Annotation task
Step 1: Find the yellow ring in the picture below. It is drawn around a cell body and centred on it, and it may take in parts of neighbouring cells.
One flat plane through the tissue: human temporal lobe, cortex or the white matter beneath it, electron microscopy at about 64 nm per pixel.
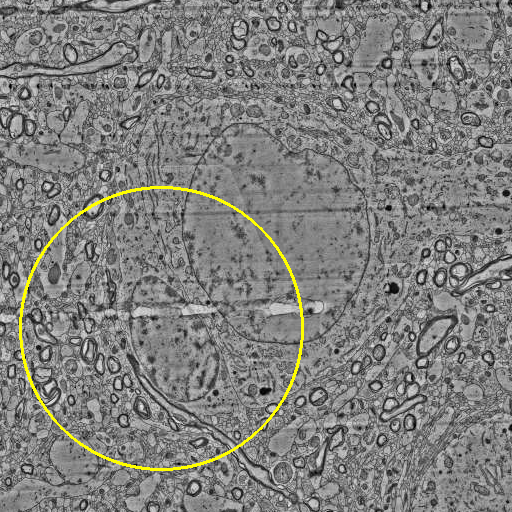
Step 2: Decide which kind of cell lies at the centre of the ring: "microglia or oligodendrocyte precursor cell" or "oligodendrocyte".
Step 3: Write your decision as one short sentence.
The kind of cell at the ring's centre is a microglial cell or oligodendrocyte precursor cell.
